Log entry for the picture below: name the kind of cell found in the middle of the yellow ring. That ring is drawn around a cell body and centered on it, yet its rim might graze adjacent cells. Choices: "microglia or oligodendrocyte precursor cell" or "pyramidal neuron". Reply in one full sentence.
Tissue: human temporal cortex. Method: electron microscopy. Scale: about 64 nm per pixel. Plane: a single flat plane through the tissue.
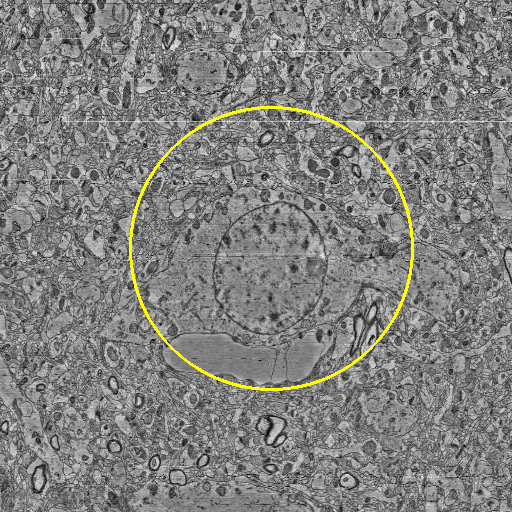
The cell in the middle of the yellow ring in this picture is a pyramidal neuron.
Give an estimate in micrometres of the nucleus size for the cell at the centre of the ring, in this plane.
The ringed cell's nucleus is about 9 micrometres long and 7 micrometres wide in this plane.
